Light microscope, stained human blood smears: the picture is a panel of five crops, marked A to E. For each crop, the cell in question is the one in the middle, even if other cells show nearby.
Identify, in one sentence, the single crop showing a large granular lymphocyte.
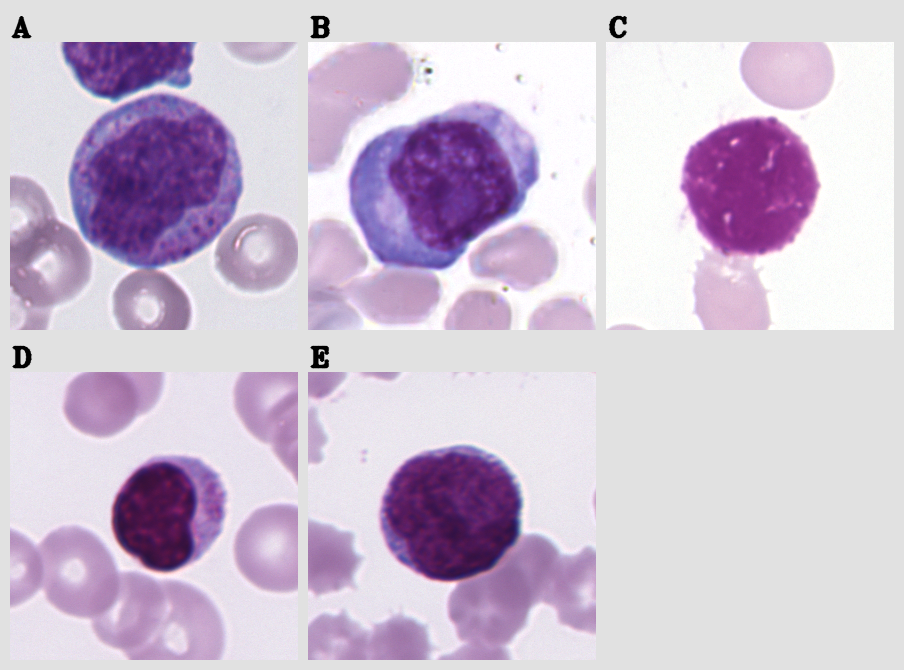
Crop D alone, of all the crops, shows a large granular lymphocyte.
